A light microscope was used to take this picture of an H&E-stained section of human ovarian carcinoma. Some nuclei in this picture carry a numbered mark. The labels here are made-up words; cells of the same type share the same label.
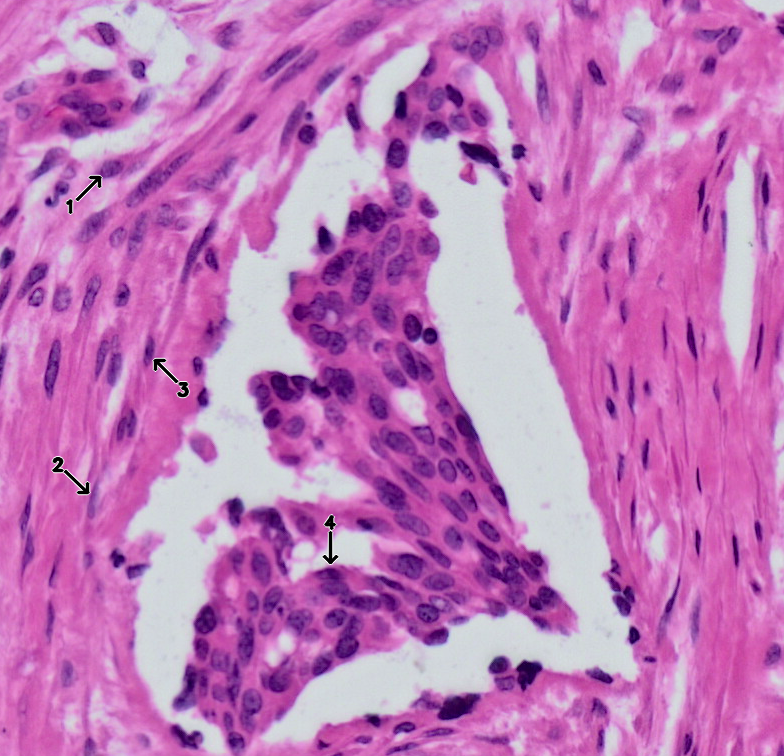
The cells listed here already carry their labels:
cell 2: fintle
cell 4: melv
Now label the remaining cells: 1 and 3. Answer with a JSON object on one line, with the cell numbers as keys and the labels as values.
{"1": "fintle", "3": "fintle"}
